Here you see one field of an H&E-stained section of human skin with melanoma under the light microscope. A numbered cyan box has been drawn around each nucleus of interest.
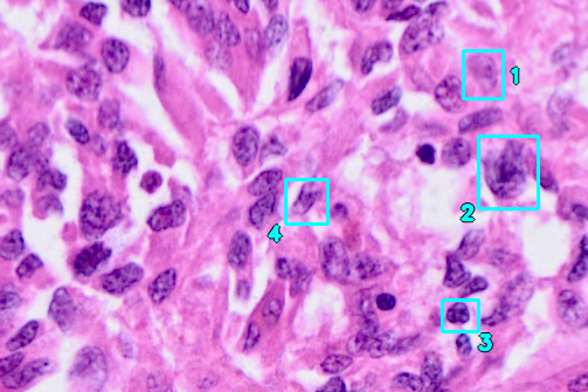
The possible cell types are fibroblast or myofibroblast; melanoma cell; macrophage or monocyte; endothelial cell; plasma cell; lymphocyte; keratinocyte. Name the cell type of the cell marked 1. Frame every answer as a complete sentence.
Identified as a melanoma cell is the cell bearing the number 1.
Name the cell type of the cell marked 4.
It is as a melanoma cell that the cell numbered 4 is identified.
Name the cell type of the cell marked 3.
Regarding cell 3, this one is a lymphocyte.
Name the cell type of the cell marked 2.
In the tissue shown, cell 2 is a melanoma cell.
